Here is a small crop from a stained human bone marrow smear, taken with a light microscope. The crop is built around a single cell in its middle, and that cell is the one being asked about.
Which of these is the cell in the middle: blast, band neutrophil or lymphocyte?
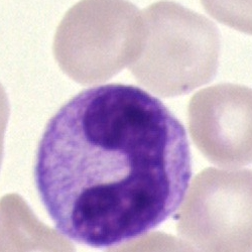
band neutrophil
